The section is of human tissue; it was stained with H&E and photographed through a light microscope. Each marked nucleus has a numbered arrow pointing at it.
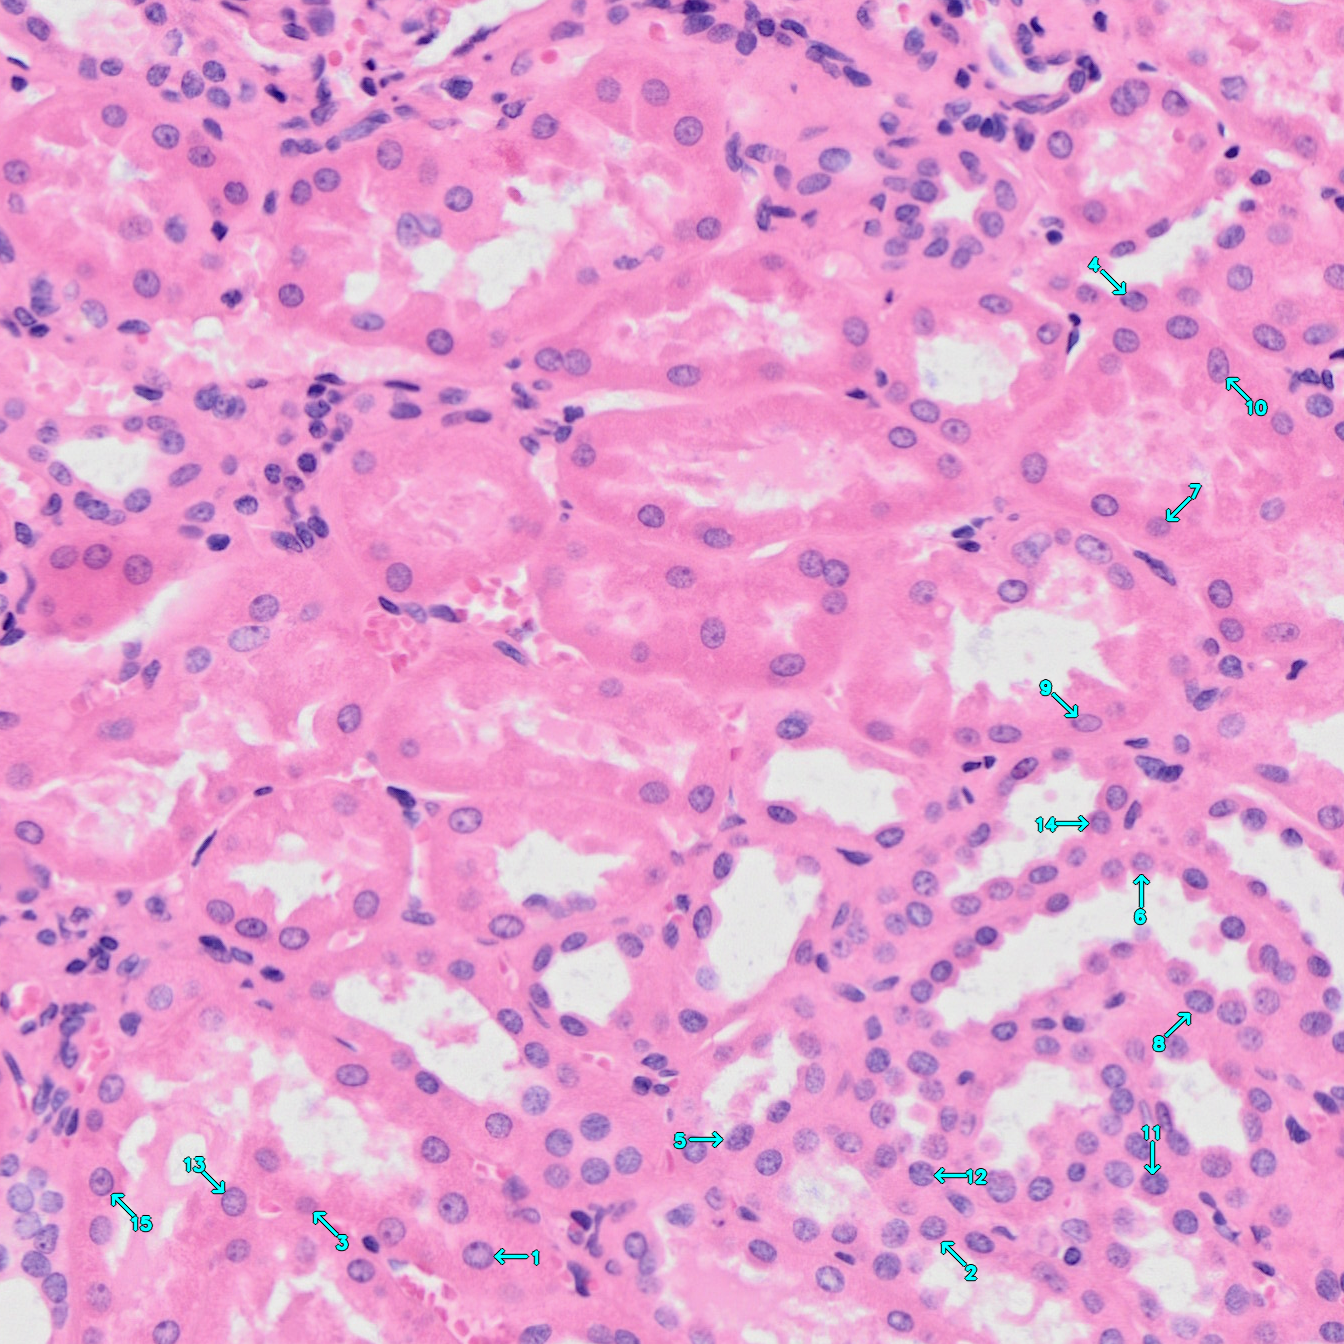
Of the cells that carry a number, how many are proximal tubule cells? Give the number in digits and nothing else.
7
